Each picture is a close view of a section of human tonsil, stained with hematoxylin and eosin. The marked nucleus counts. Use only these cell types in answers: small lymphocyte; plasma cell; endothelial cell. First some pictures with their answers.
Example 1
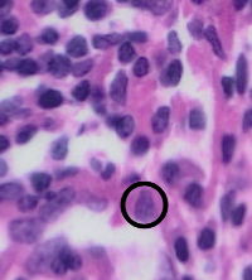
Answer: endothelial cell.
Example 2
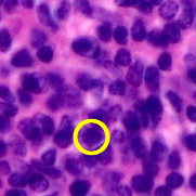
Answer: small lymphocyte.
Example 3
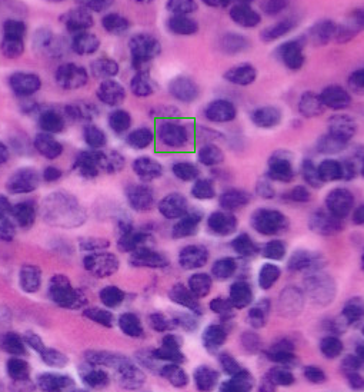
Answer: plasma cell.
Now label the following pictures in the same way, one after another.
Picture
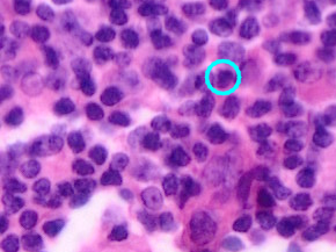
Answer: small lymphocyte.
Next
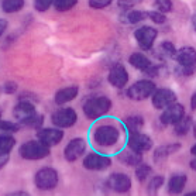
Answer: plasma cell.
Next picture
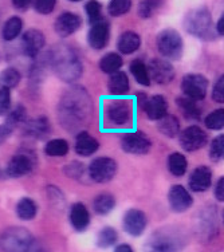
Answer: endothelial cell.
